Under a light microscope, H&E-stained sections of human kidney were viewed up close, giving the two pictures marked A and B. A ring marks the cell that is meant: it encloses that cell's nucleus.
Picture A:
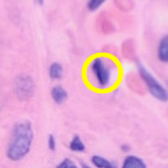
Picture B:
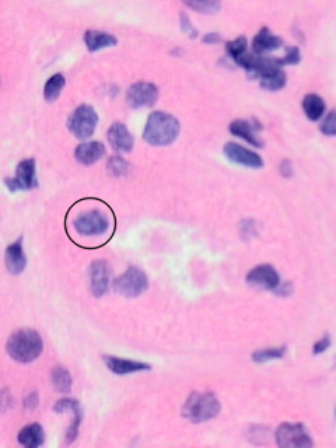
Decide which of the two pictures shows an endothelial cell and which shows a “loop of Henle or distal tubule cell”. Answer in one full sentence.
In picture A the cell is an endothelial cell; in picture B, a “loop of Henle or distal tubule cell”.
